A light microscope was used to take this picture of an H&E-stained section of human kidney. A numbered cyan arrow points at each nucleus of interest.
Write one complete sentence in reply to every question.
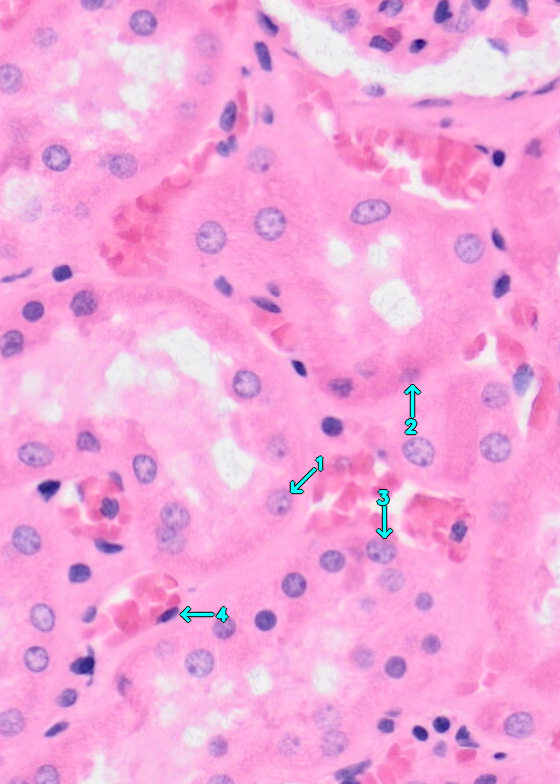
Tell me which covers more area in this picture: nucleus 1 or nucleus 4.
Of the two, number 1 is bigger and takes up about 2.5 times the area of number 4.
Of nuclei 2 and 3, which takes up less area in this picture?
Nucleus 2 covers less area, with nucleus 3 about 2 times as large.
